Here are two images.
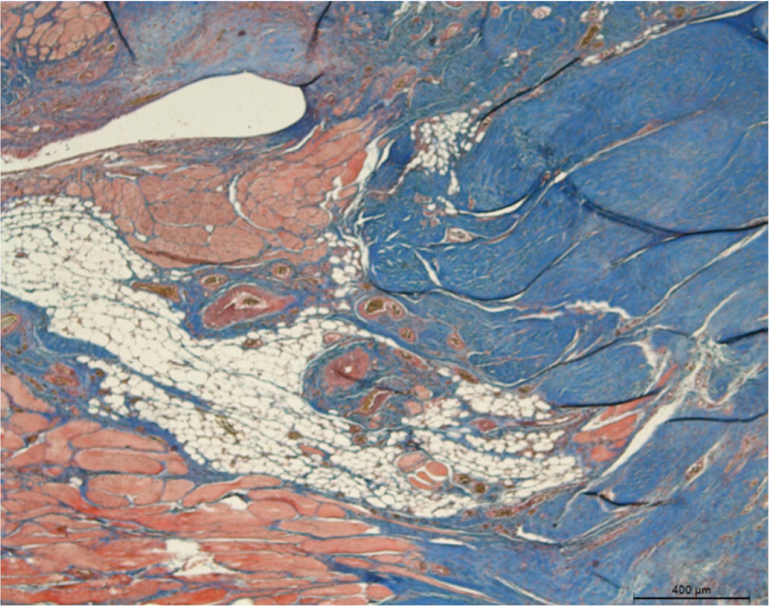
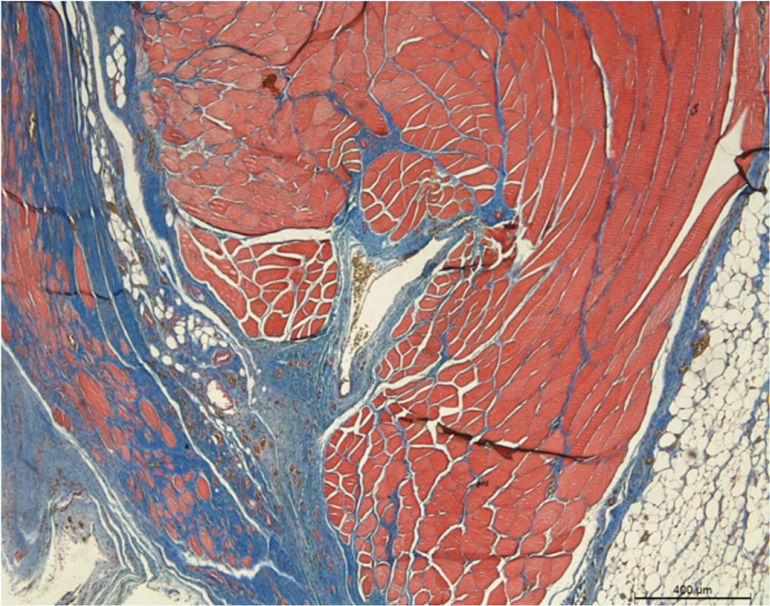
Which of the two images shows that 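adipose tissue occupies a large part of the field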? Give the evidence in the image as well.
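The first image. Second image: red muscle fills most of the field, with only a narrow strip of pale, honeycomb-like fat cells at the edge. First image: a broad band of pale, empty-looking polygonal fat cells crosses much of the field.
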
